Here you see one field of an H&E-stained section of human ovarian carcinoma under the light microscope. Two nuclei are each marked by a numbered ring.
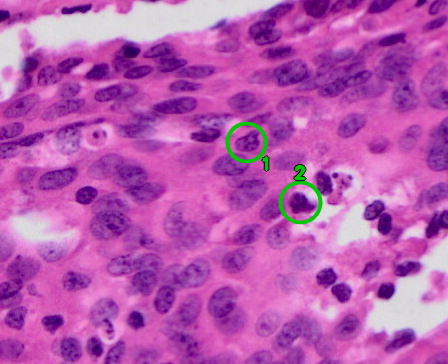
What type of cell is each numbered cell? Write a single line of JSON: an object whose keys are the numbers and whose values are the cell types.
{"1": "macrophage or monocyte", "2": "carcinoma cell"}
